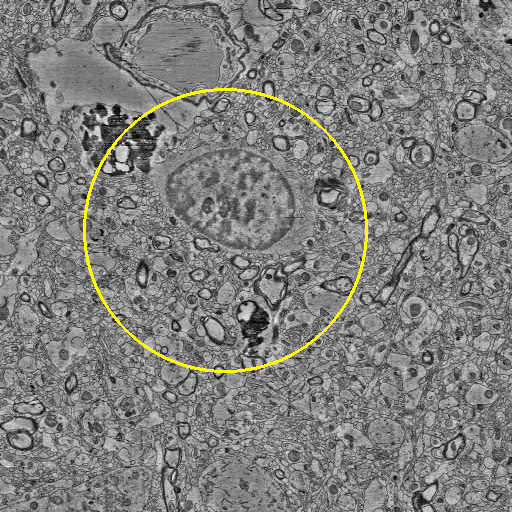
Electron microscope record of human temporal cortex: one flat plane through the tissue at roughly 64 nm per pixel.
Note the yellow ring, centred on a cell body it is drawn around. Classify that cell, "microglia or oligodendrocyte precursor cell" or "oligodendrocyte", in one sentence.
The cell the ring is centred on is an oligodendrocyte.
